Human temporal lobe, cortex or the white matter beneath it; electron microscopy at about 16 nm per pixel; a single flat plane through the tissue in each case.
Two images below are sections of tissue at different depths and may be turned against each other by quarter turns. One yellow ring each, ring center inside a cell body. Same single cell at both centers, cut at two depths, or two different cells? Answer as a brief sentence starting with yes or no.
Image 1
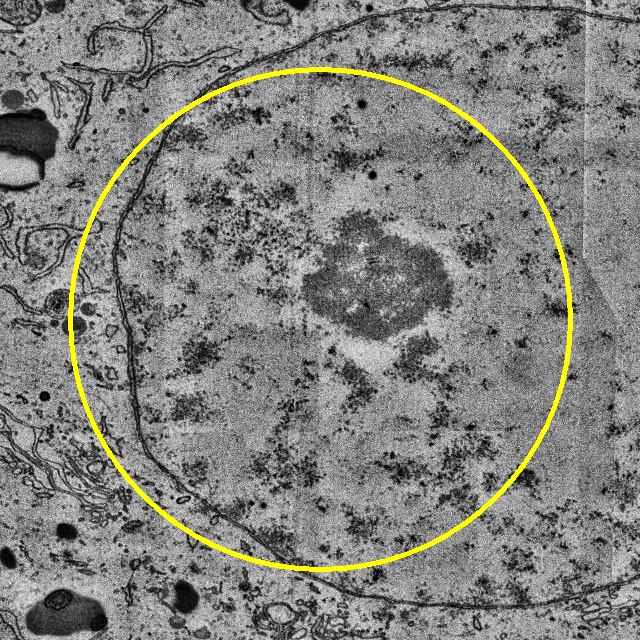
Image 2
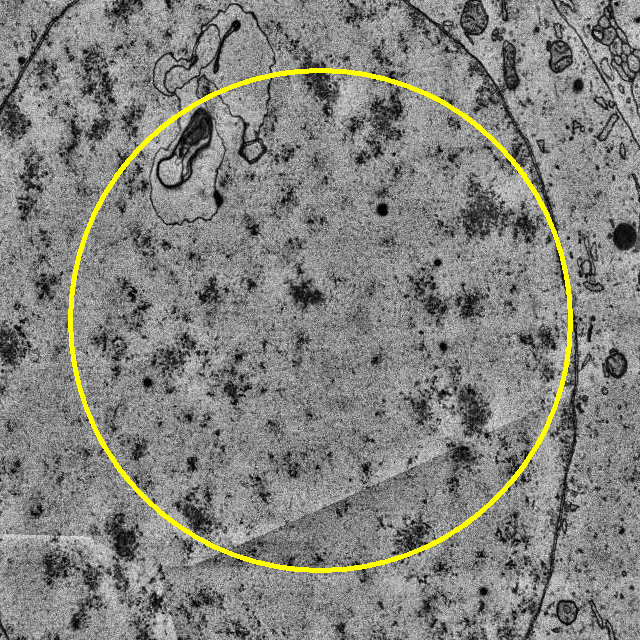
No, the two circled cells are distinct from one another.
